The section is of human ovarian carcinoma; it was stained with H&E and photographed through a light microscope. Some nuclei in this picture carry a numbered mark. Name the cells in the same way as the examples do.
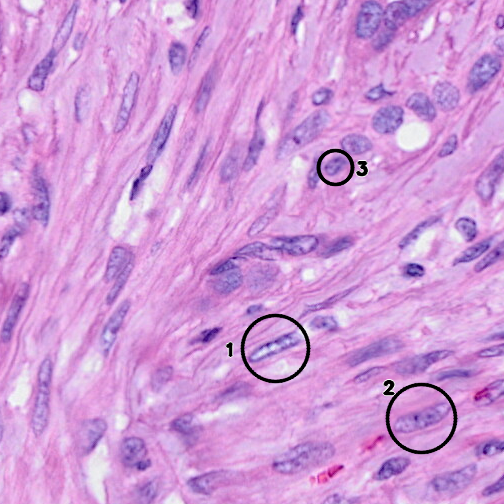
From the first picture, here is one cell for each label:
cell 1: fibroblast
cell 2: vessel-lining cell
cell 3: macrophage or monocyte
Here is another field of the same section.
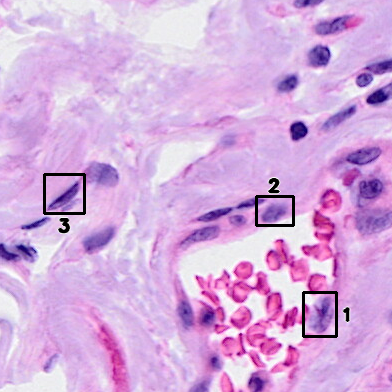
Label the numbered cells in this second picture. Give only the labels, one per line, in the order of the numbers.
vessel-lining cell
vessel-lining cell
fibroblast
